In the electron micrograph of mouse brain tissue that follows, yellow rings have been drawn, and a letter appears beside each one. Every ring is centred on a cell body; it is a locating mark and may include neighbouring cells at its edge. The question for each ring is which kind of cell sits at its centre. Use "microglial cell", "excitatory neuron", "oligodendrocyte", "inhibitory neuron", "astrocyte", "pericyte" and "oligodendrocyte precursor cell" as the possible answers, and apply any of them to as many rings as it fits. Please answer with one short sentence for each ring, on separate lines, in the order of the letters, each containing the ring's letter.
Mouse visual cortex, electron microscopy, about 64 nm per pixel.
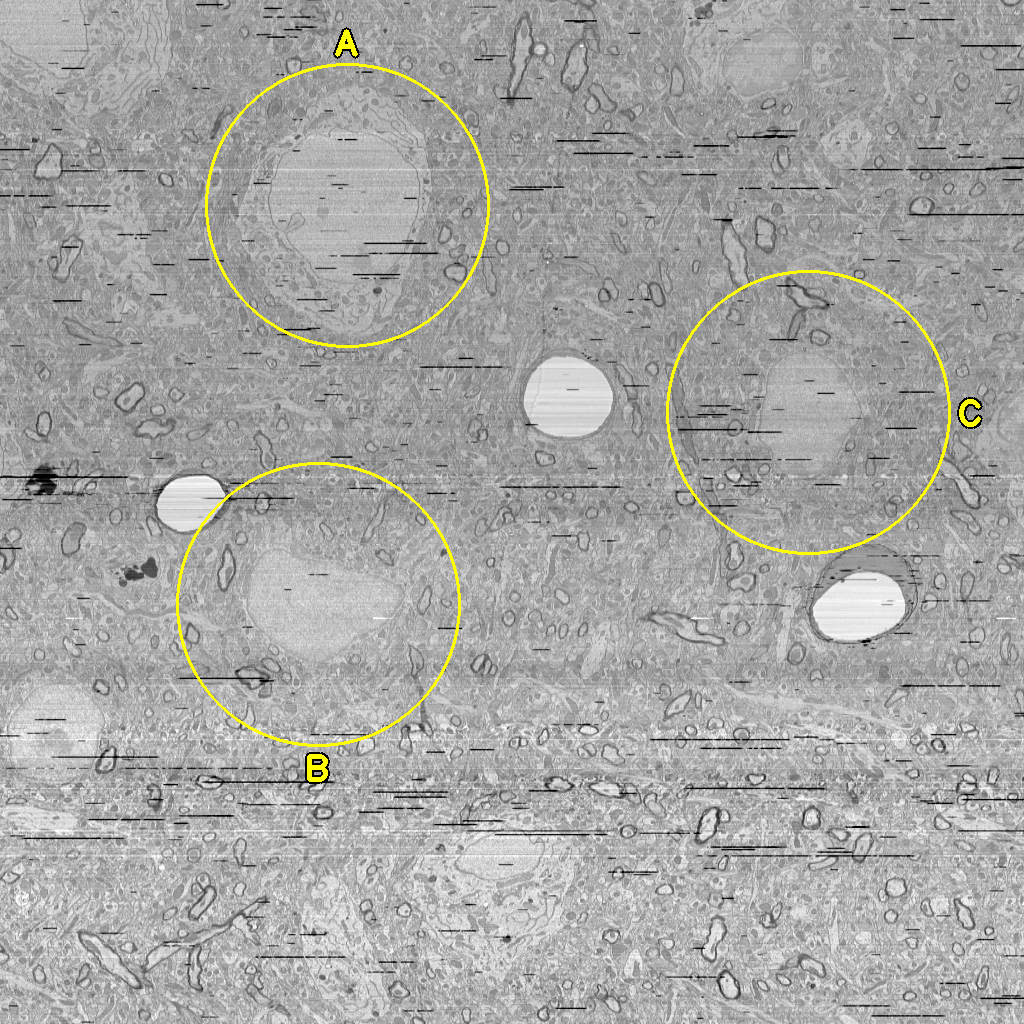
Sitting at the centre of ring A is an excitatory neuron.
Sitting at the centre of ring B is an astrocyte.
Sitting at the centre of ring C is an astrocyte.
